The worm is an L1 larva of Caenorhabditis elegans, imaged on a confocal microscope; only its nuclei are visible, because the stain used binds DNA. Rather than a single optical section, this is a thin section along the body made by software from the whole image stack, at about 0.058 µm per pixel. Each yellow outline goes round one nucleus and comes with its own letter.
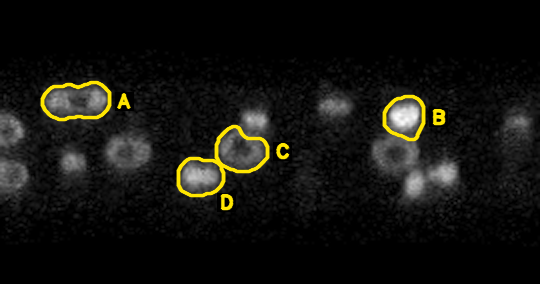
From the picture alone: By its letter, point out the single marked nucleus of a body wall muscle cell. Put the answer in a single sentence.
The one from a body wall muscle cell is D.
